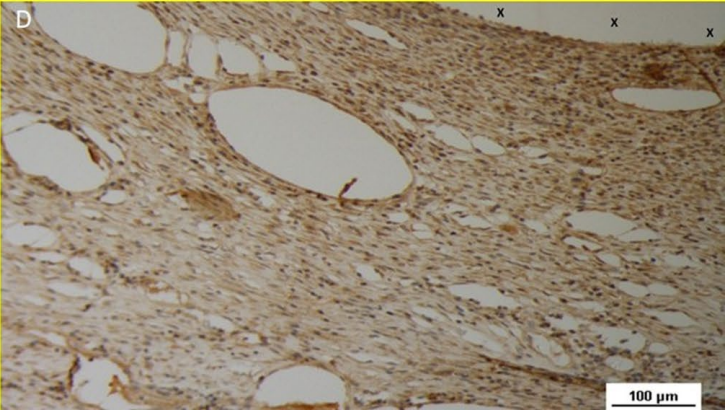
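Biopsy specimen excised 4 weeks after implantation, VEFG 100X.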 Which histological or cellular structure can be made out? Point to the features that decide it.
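Vascular structures. Many rounded and oval empty spaces of varied size lie in a cellular brown-stained tissue. The largest oval space lies in the upper middle.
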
